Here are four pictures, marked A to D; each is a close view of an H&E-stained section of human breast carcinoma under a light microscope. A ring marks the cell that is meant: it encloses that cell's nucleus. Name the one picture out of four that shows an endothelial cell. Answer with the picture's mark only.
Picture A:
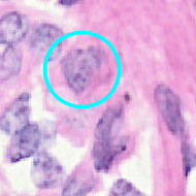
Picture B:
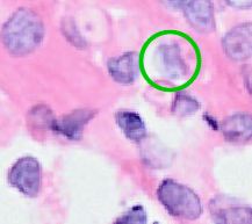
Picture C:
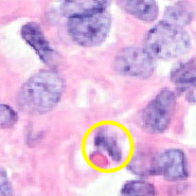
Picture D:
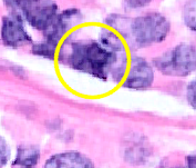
C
